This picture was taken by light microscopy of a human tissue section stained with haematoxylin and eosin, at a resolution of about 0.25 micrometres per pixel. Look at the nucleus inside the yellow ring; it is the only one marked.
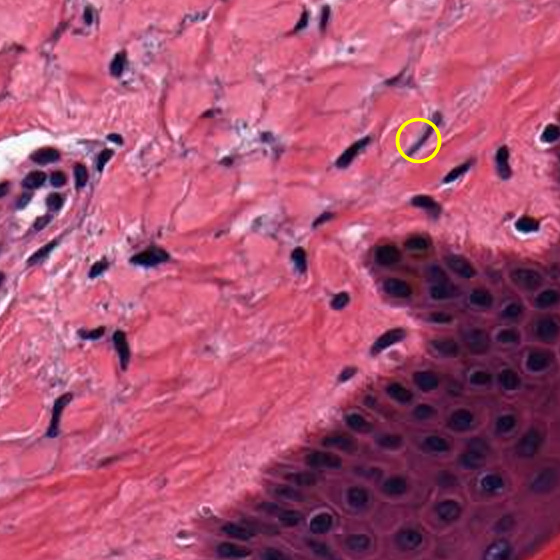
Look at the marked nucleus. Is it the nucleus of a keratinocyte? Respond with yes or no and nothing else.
no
